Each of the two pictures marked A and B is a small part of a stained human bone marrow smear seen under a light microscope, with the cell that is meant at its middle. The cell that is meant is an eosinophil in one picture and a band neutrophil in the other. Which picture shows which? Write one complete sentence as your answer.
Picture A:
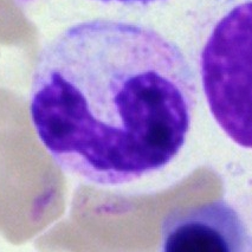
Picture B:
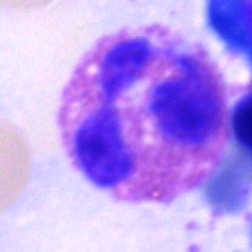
Picture A is of a band neutrophil, and picture B is of an eosinophil.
